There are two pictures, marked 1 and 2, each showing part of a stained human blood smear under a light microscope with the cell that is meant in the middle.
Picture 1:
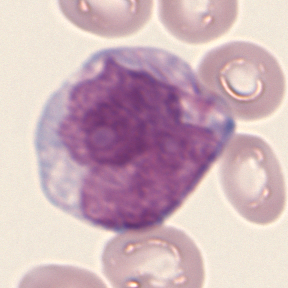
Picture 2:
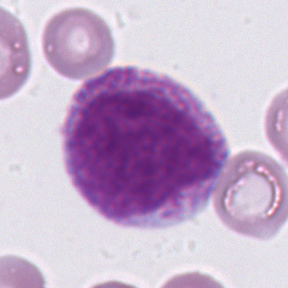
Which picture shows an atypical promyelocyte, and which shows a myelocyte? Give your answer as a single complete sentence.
It is picture 1 that shows an atypical promyelocyte, and picture 2 that shows a myelocyte.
